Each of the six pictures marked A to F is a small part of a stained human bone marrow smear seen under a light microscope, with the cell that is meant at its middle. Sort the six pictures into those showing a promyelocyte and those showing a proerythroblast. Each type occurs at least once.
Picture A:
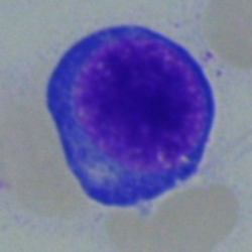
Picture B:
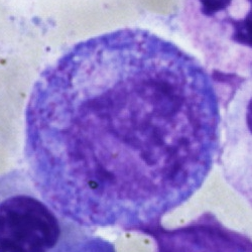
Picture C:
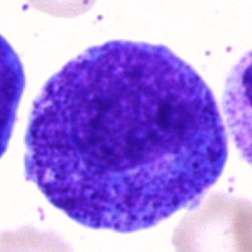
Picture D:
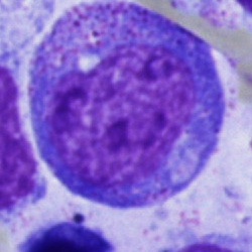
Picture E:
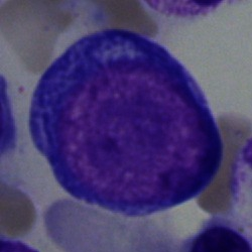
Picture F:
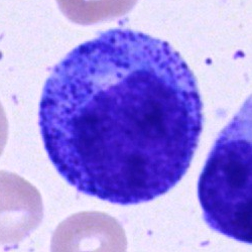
A: proerythroblast
B: promyelocyte
C: promyelocyte
D: promyelocyte
E: proerythroblast
F: promyelocyte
